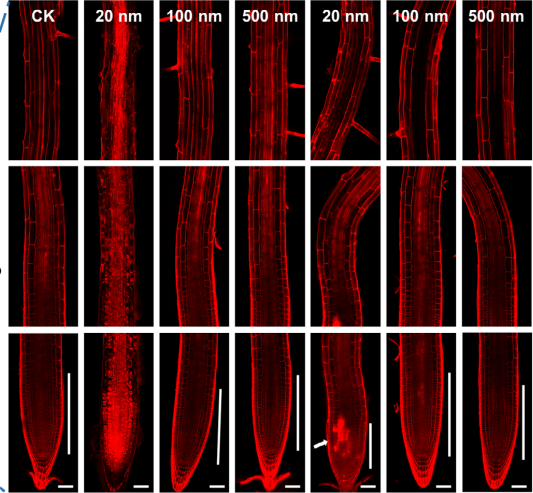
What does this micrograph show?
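At the bottom the root cap caps the meristem, where the cells are small, short and tightly packed in regular files. Higher up the cells in the elongation zone grow long and narrow, and in the maturation zone root hairs stick out from the surface. In one column the red fills the insides of the cells, the tidy outlines are lost and the files are blurred from tip to maturation zone. This points to severe damage to the root cells. In another tip a bright red patch lies inside the meristem.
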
